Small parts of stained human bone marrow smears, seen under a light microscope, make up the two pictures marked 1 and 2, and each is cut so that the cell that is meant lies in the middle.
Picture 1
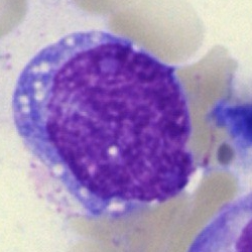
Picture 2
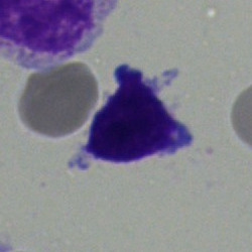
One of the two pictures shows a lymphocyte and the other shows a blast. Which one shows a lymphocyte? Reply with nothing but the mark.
2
